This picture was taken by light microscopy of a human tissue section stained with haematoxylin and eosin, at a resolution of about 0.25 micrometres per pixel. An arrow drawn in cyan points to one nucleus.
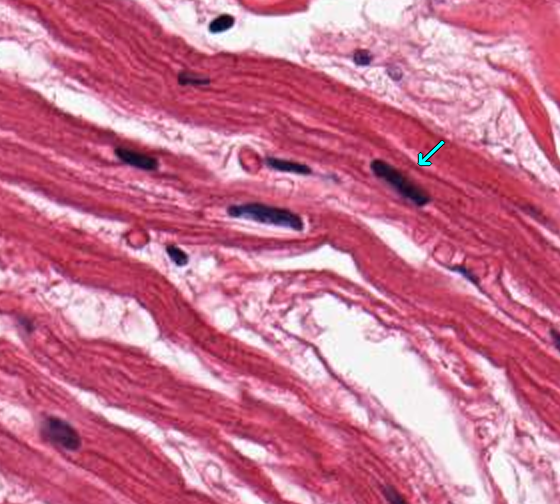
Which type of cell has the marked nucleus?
cardiomyocyte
